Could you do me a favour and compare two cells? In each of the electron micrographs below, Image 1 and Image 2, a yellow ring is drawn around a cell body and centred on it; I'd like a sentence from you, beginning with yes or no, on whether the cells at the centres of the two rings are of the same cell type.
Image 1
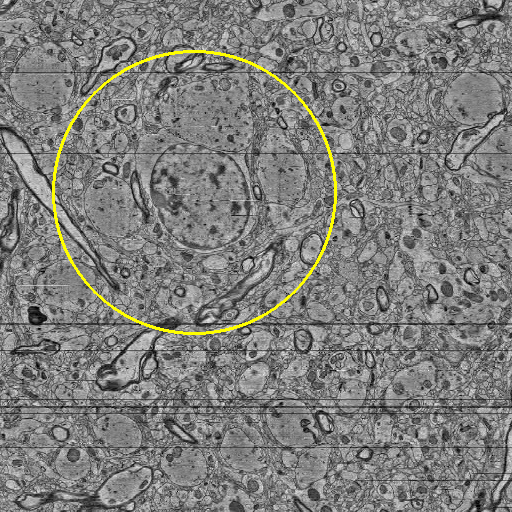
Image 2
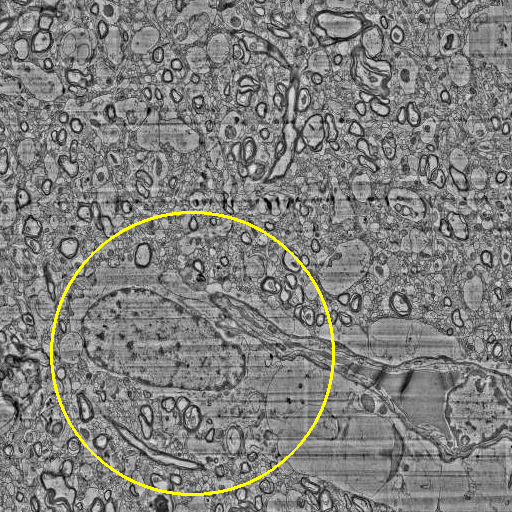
Yes, the two cells are of the same cell type.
